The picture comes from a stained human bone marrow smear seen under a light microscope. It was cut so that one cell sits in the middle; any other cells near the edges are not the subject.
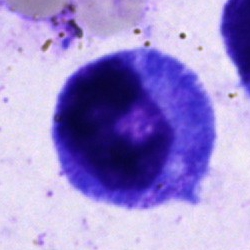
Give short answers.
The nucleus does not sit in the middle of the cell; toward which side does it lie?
left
